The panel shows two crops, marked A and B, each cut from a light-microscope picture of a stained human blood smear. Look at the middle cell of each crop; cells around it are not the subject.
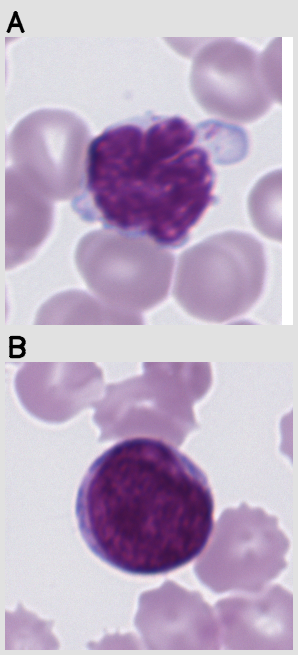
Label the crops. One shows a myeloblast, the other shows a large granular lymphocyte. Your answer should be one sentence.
Crop A contains a large granular lymphocyte, and crop B contains a myeloblast.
